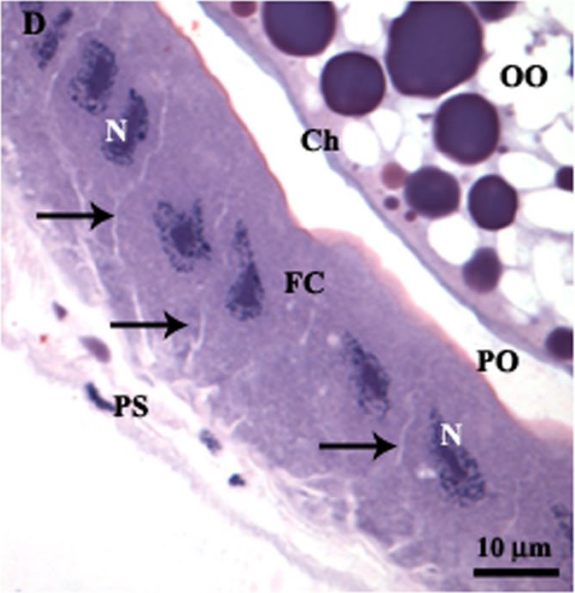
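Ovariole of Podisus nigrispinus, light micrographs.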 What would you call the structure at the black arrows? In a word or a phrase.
narrowed intercellular spaces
